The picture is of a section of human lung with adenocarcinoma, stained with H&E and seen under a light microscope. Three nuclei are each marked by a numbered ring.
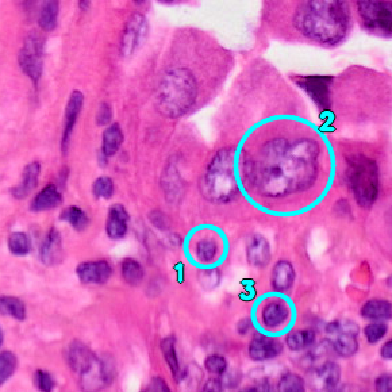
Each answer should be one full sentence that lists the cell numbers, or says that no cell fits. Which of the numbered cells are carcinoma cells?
Cell 2 is the only numbered cell that is a carcinoma cell.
